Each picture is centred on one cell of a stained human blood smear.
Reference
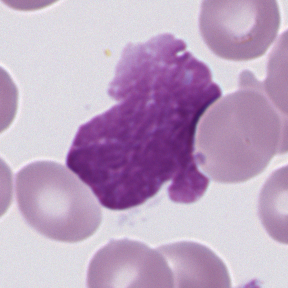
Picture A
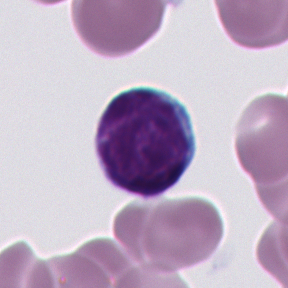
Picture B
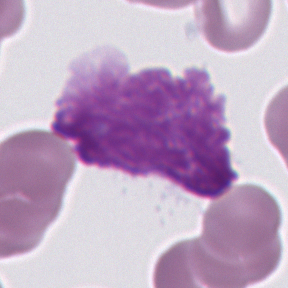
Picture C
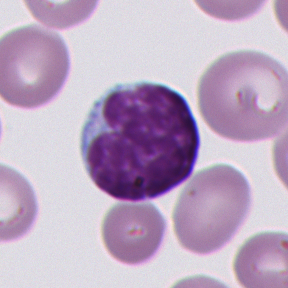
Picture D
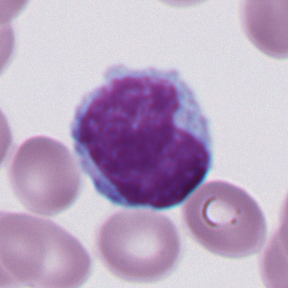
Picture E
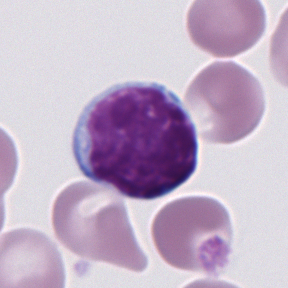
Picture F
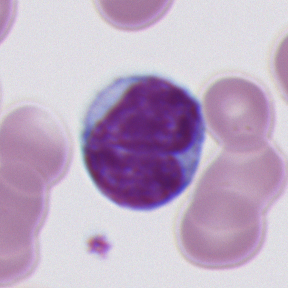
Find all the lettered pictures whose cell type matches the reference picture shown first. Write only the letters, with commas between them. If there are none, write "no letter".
B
